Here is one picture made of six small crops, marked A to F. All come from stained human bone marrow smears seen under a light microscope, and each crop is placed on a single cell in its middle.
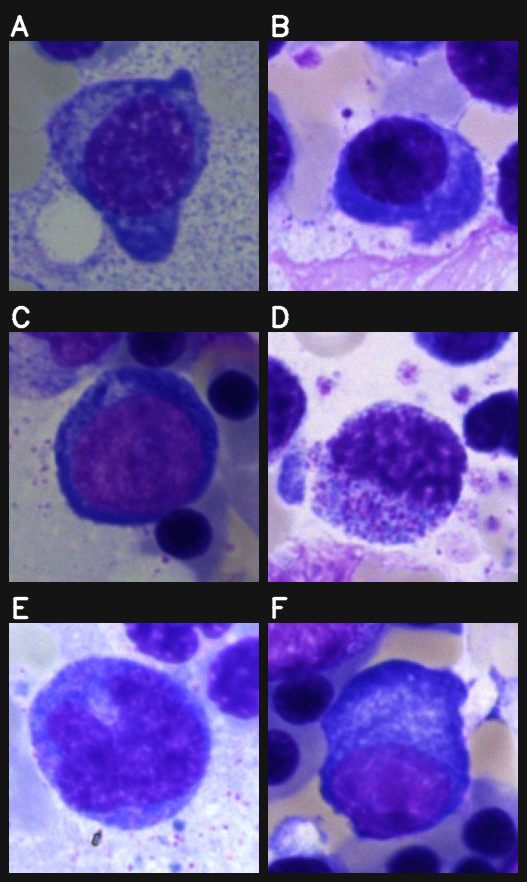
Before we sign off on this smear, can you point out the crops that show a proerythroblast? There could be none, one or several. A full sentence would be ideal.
Of the crops provided, crop C is the only one that contains a proerythroblast.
